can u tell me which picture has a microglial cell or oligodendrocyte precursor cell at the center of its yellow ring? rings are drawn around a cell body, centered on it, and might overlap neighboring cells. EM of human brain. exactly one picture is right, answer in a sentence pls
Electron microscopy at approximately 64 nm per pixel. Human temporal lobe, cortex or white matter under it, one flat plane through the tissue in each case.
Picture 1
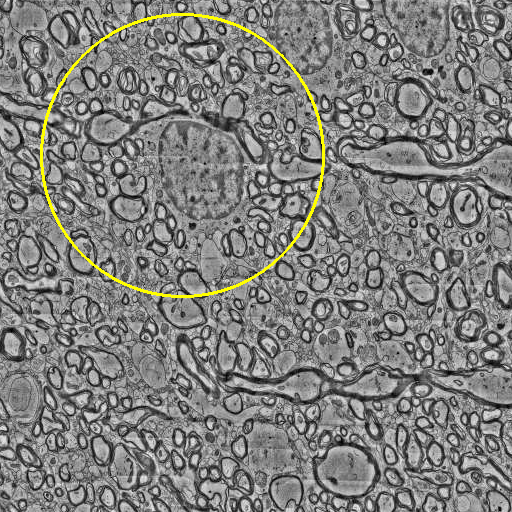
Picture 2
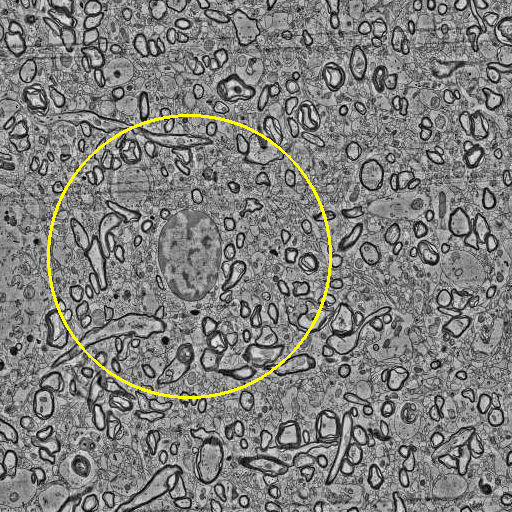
Picture 2 is the one.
